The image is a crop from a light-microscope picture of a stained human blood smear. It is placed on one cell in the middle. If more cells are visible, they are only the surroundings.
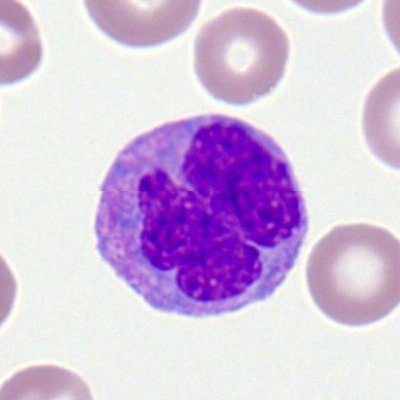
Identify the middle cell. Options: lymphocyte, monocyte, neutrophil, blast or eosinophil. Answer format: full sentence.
Whatever else lies nearby, the middle cell is a monocyte.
